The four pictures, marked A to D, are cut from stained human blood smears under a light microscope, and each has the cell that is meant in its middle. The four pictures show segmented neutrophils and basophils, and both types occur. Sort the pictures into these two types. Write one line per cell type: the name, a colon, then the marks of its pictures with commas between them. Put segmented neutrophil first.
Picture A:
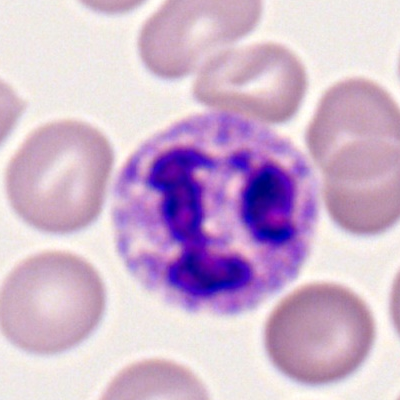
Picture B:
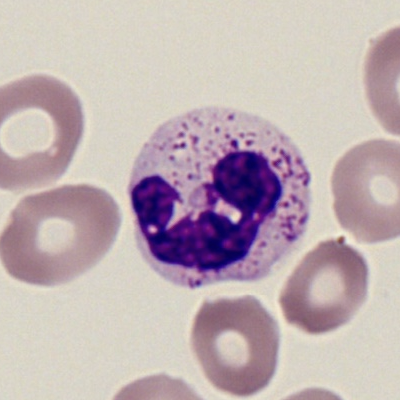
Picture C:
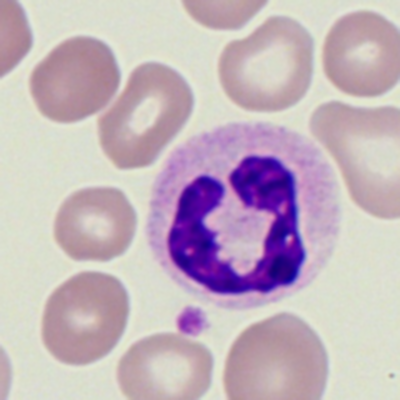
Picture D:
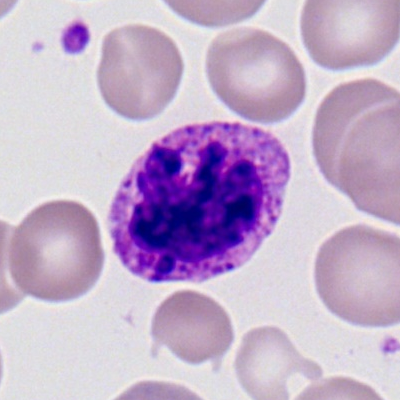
segmented neutrophil: A, B, C
basophil: D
